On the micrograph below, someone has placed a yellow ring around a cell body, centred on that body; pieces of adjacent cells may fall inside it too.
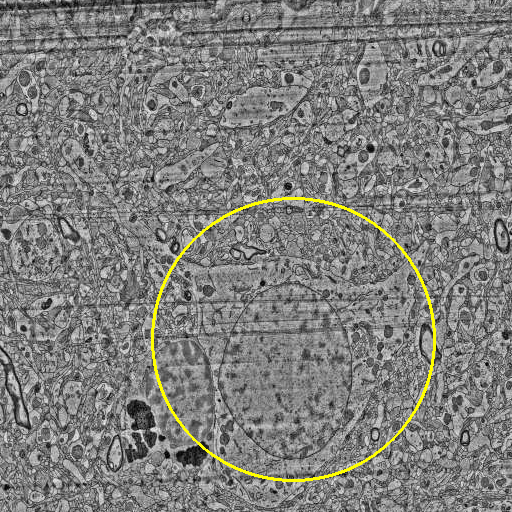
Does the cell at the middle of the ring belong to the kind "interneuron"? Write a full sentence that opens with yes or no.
No, the micrograph shows another kind of cell at the ring's centre.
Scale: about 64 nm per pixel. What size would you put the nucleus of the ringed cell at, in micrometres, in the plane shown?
About 11 by 9 micrometers, in this plane.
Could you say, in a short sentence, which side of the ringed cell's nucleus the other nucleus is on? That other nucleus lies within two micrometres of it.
That other nucleus sits to the left of it.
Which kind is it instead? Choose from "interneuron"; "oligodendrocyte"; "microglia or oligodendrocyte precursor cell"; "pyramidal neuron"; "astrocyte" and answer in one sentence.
The cell ringed in the picture is a pyramidal neuron.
